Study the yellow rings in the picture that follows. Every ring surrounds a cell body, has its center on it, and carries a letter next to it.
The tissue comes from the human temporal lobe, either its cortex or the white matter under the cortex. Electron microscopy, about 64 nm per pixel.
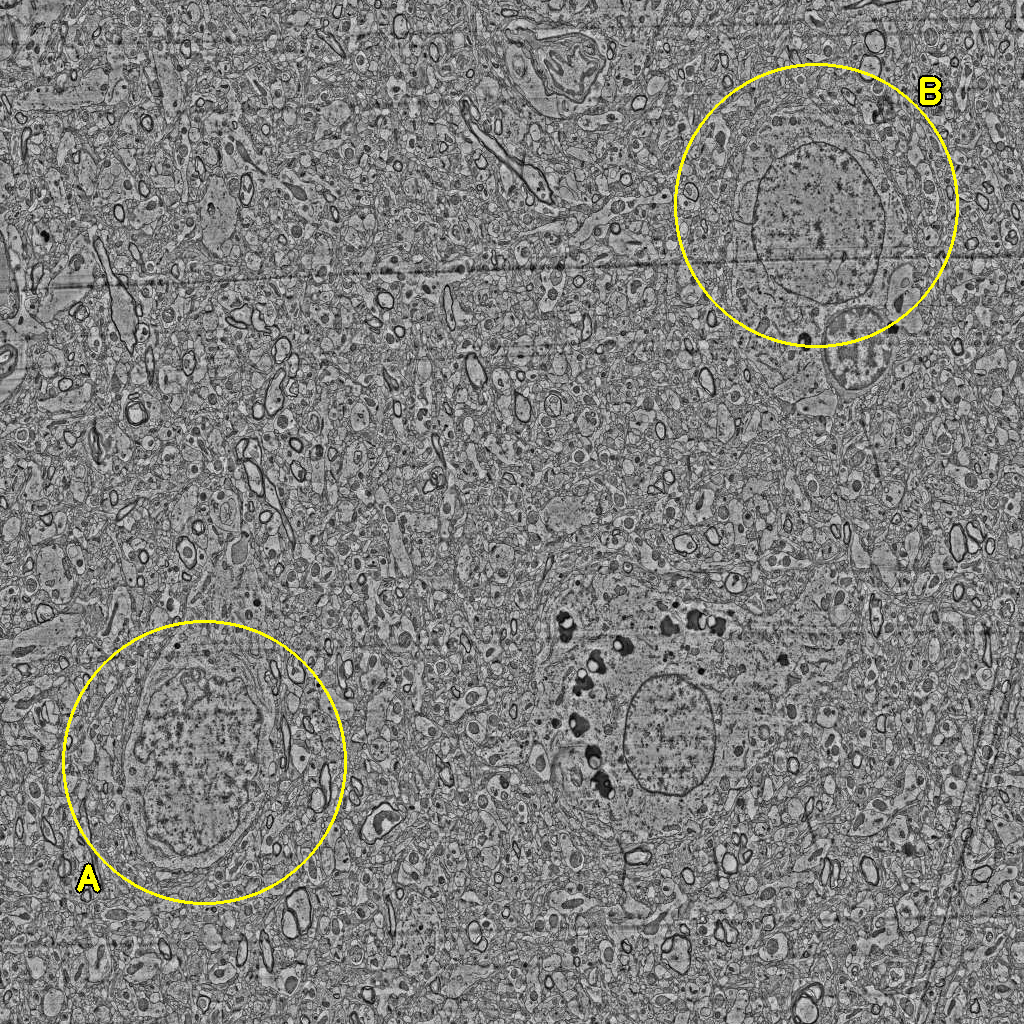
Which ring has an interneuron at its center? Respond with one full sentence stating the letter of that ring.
The ring centered on the cell asked for carries the letter A.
